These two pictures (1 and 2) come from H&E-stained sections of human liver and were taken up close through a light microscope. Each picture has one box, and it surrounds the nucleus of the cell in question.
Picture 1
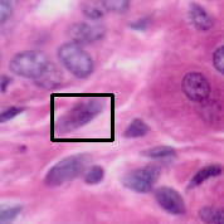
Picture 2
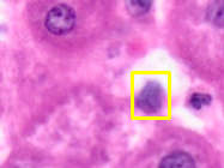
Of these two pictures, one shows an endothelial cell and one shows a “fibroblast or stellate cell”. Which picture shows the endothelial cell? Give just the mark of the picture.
2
